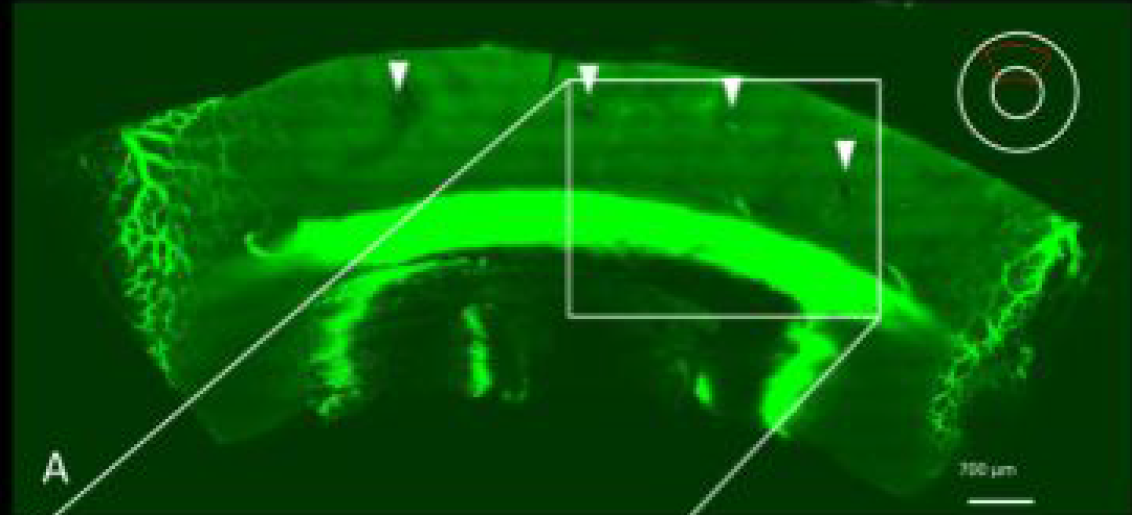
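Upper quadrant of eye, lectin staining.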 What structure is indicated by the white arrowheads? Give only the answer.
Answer: Axenfeld loops.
